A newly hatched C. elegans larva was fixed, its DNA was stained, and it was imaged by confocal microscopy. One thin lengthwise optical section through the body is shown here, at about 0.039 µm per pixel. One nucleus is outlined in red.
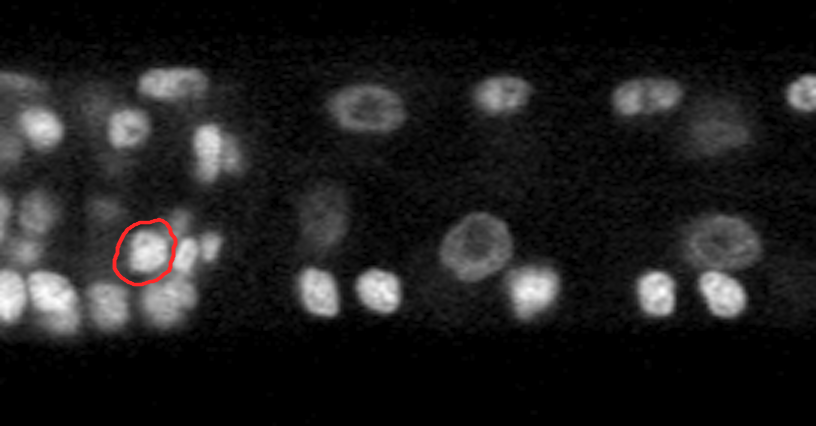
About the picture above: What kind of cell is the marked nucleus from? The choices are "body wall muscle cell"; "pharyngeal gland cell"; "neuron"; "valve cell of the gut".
pharyngeal gland cell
